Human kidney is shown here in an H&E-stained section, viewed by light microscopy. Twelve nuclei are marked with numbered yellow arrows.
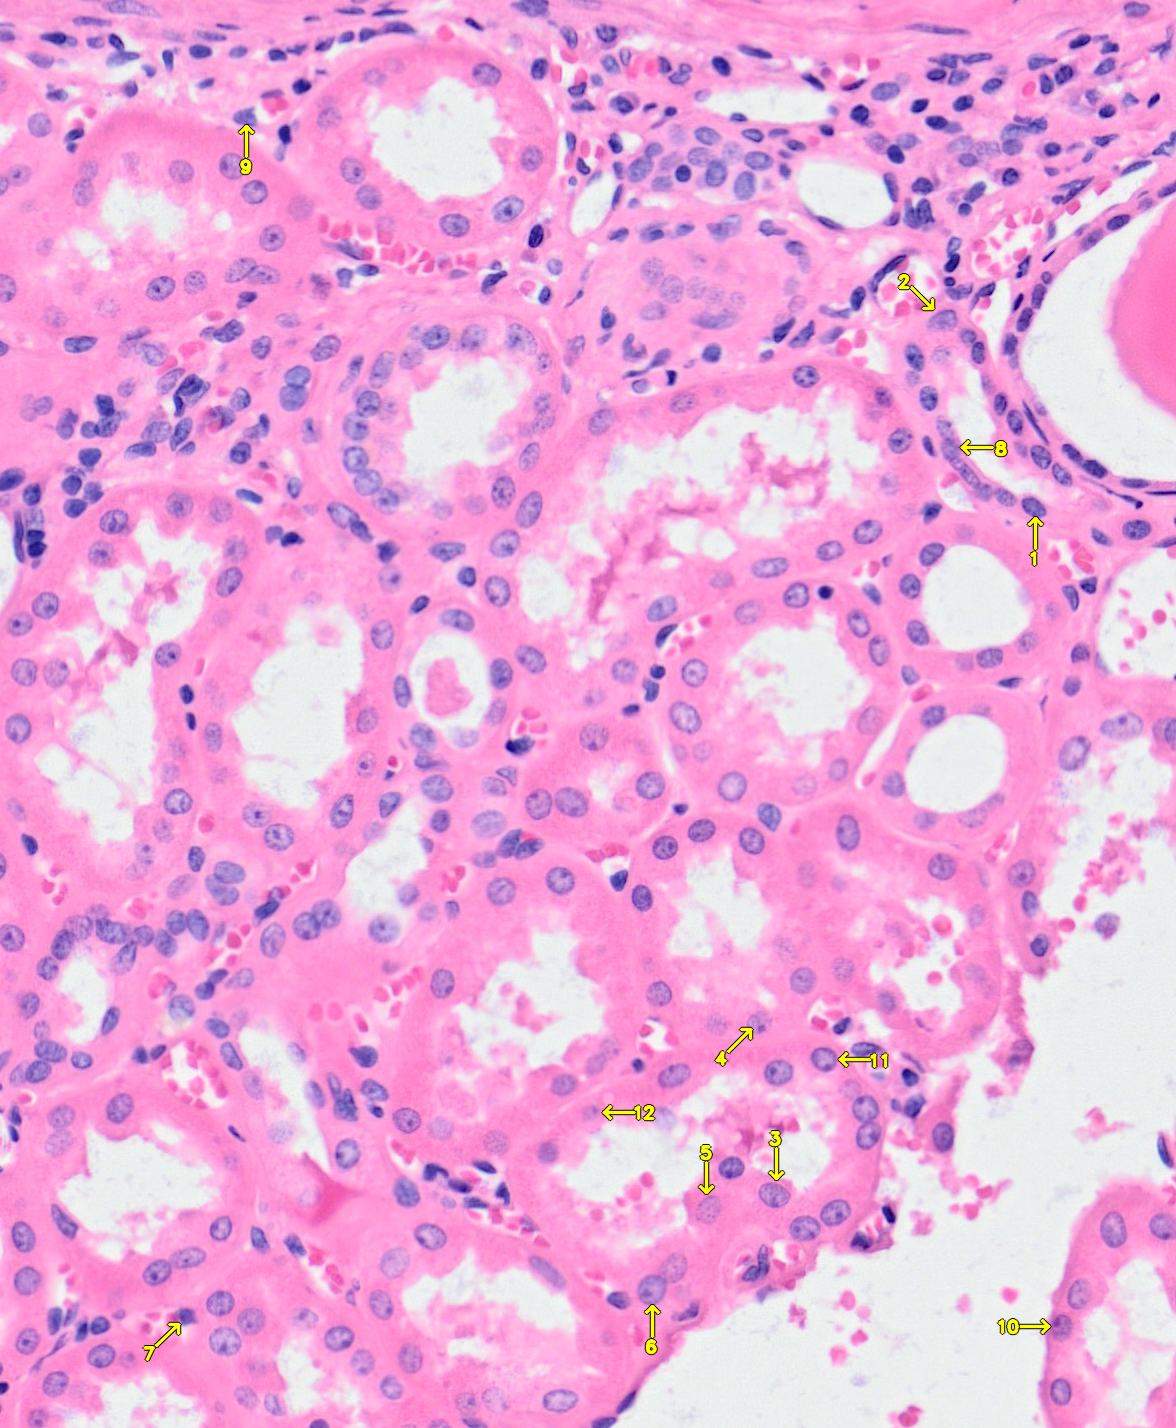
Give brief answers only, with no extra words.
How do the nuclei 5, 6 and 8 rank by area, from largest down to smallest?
6, 5, 8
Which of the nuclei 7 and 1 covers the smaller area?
7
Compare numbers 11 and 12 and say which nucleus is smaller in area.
12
